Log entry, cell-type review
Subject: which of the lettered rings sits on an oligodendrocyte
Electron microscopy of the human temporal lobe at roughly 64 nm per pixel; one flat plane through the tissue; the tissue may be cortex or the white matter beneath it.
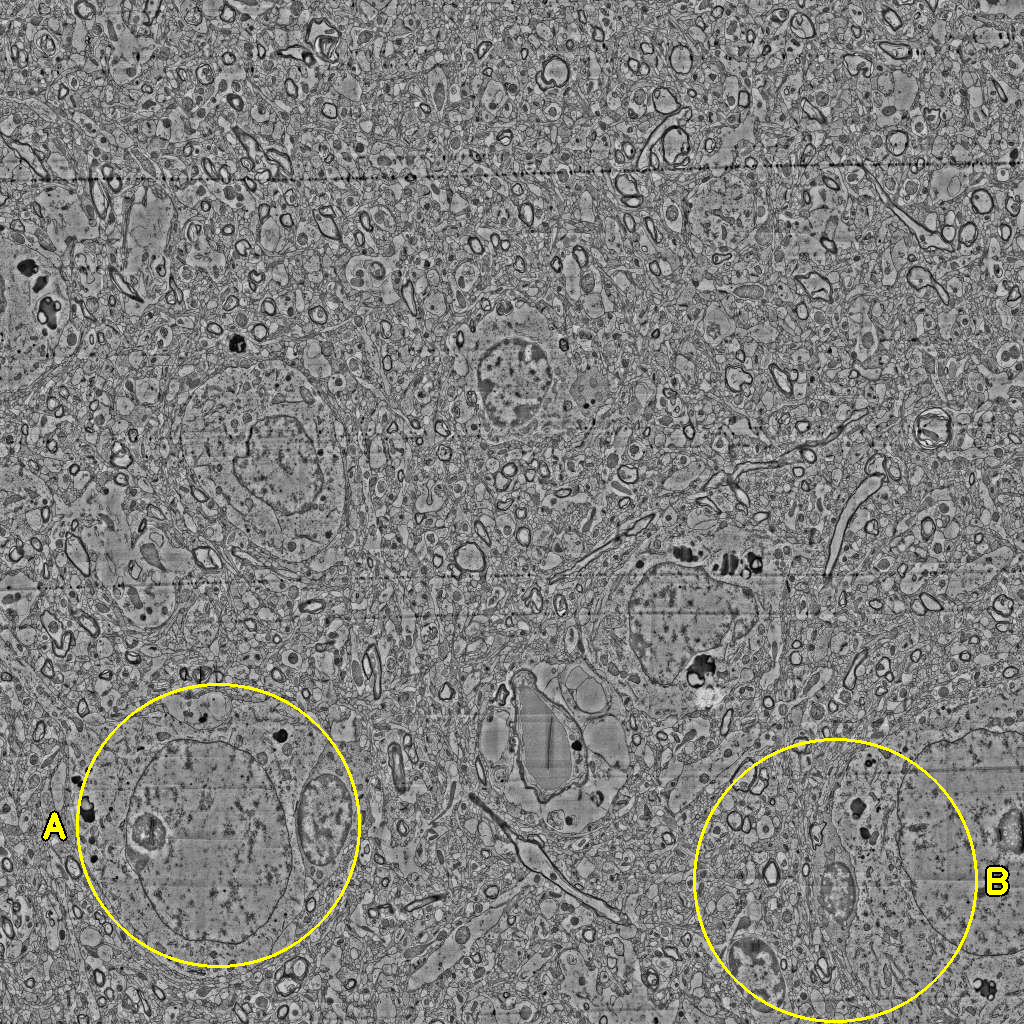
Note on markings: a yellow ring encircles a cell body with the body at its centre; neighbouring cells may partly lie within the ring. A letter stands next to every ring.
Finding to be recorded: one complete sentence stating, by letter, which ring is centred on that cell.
The cell sits at the centre of ring B.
